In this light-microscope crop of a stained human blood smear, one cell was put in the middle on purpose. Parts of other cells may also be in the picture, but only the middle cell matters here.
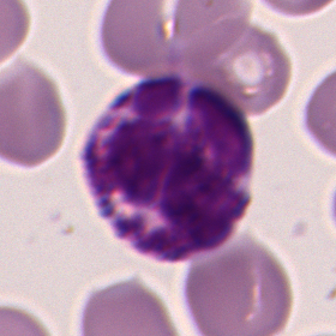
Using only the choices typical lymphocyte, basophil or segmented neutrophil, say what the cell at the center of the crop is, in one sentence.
On this slide crop, the central cell is a basophil.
